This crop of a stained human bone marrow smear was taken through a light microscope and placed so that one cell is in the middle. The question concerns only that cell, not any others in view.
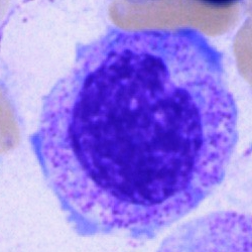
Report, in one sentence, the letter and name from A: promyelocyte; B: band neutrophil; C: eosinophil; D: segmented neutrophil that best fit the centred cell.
It is a promyelocyte that occupies the centre of the crop, so option A is correct.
